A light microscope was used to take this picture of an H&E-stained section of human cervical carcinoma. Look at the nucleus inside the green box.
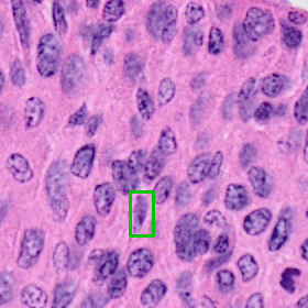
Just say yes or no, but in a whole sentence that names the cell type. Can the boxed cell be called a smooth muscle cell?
No, rather than a smooth muscle cell, the boxed cell is a squamous carcinoma cell.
